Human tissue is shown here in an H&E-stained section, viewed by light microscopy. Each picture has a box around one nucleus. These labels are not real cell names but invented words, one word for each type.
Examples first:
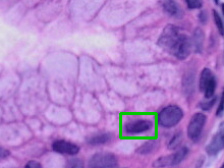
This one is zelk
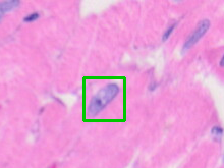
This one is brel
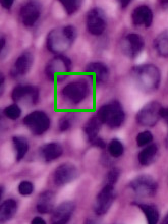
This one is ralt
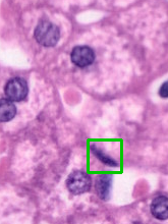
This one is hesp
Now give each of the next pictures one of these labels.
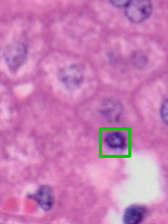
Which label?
hesp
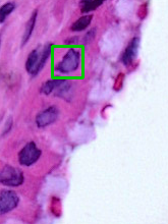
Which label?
zelk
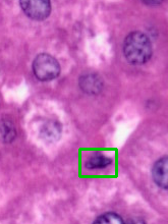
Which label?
hesp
